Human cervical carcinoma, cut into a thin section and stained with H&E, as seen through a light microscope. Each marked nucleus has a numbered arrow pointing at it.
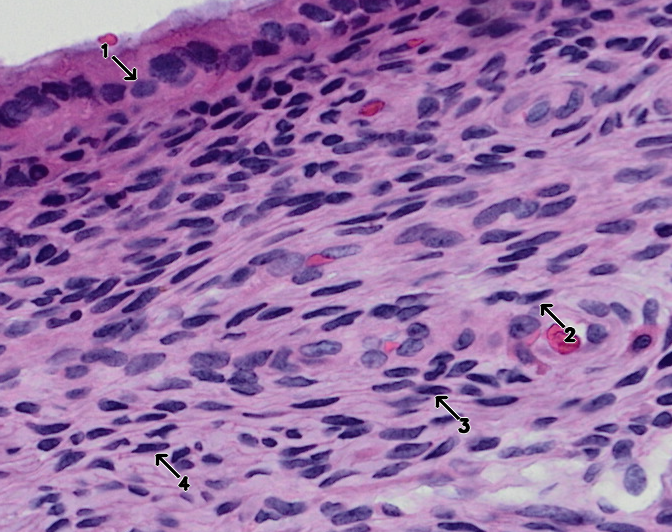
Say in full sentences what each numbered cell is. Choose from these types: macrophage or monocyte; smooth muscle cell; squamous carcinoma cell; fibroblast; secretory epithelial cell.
Cell 1 is a secretory epithelial cell, cell 2 is a fibroblast, cell 3 is a fibroblast and cell 4 is a fibroblast.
